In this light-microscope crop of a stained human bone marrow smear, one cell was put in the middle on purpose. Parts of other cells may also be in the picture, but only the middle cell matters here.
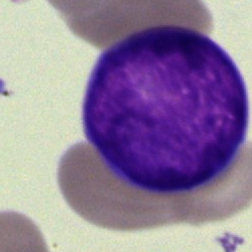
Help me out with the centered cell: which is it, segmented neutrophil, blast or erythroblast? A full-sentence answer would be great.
Looking at the middle of the crop, the cell there is a blast.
